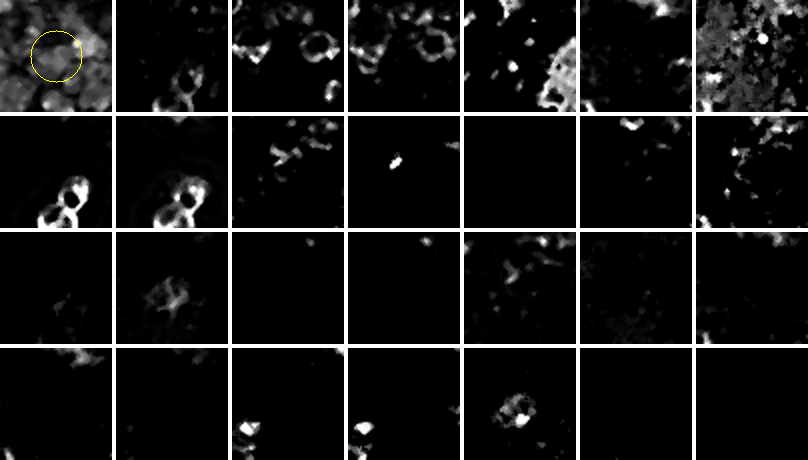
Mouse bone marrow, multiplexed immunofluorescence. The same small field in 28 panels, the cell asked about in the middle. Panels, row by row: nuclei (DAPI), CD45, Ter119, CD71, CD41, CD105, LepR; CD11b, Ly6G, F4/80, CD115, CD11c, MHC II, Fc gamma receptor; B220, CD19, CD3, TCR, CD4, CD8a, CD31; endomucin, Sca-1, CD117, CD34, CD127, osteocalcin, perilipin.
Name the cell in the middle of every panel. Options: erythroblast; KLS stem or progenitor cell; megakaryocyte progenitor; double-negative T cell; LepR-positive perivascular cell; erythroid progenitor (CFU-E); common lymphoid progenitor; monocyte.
common lymphoid progenitor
